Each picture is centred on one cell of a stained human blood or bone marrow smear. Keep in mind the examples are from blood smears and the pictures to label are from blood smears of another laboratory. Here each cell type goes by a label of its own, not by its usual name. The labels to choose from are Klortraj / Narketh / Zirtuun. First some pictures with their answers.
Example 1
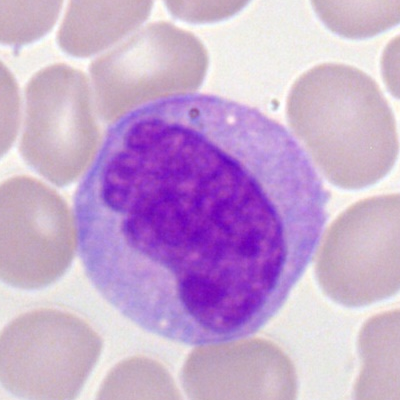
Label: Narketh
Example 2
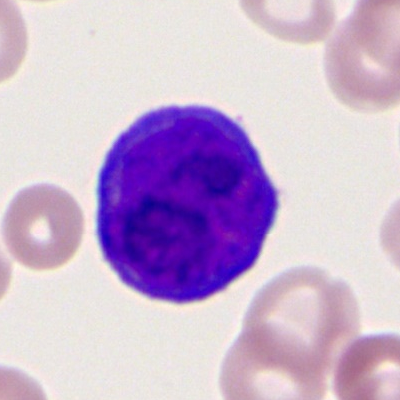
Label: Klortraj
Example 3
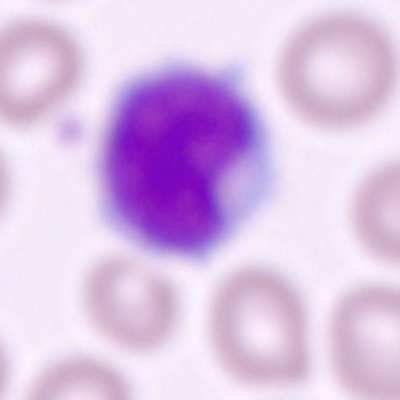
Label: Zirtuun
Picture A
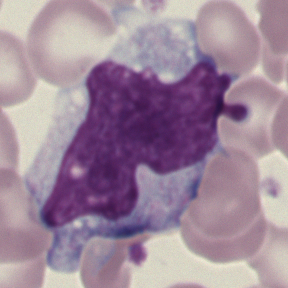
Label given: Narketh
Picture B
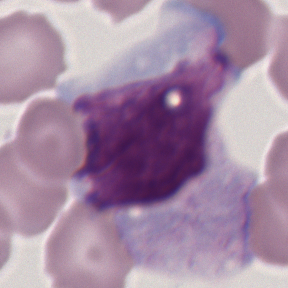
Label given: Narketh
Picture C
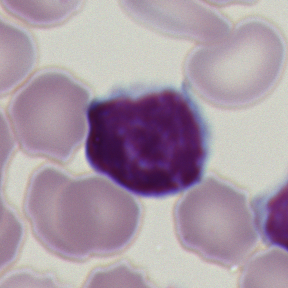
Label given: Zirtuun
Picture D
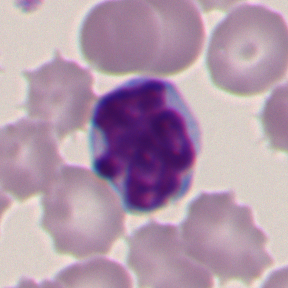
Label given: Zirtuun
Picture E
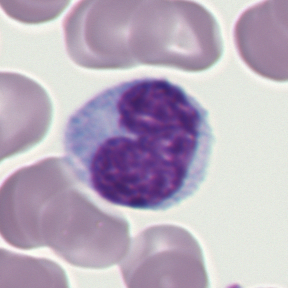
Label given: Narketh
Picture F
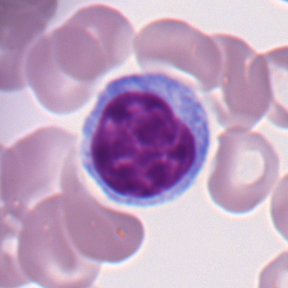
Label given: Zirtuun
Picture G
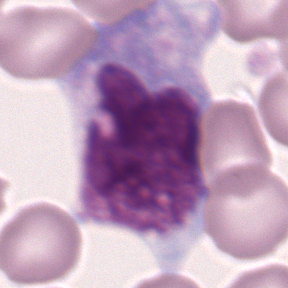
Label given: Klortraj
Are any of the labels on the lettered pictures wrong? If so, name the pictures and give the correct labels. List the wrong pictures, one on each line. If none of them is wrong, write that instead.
G: Narketh, not Klortraj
